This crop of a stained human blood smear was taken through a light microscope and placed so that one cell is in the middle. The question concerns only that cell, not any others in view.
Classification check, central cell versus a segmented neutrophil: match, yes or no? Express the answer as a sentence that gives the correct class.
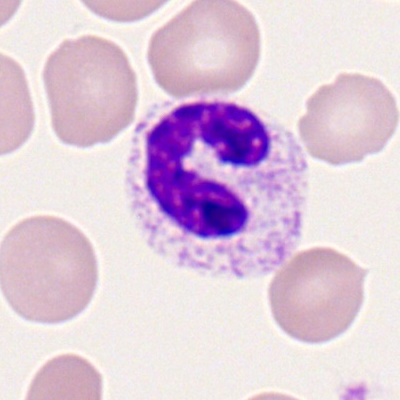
No, the central cell does not represent a segmented neutrophil, but a band neutrophil.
